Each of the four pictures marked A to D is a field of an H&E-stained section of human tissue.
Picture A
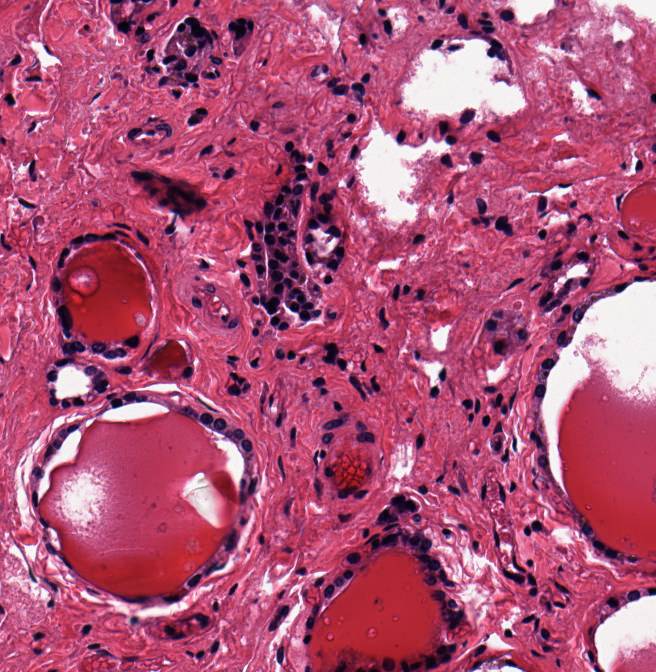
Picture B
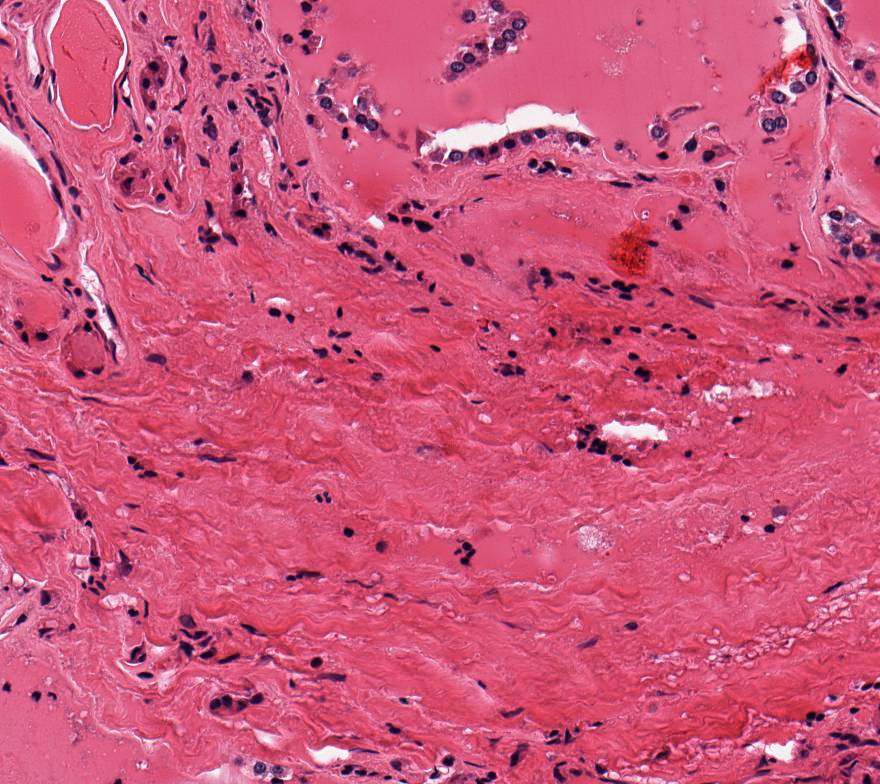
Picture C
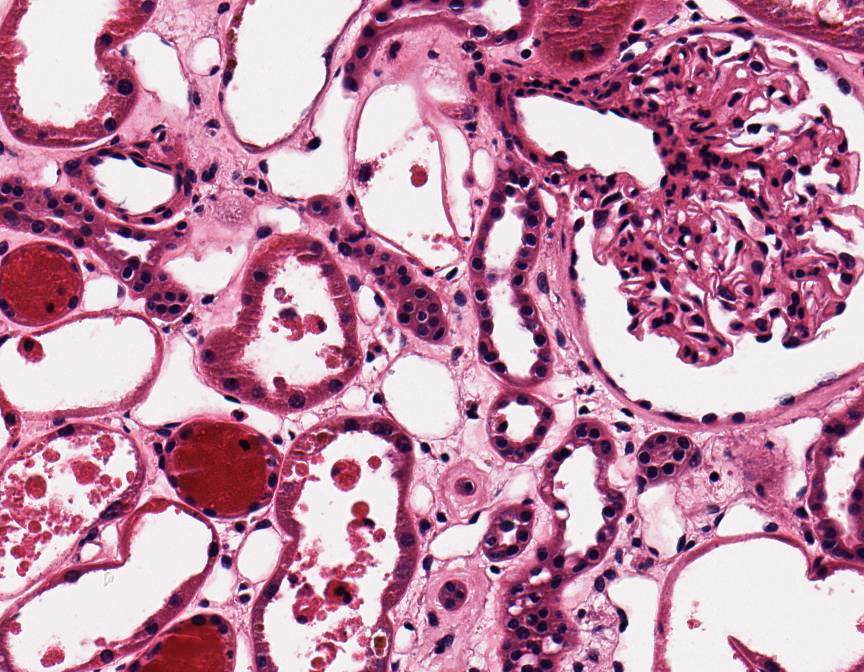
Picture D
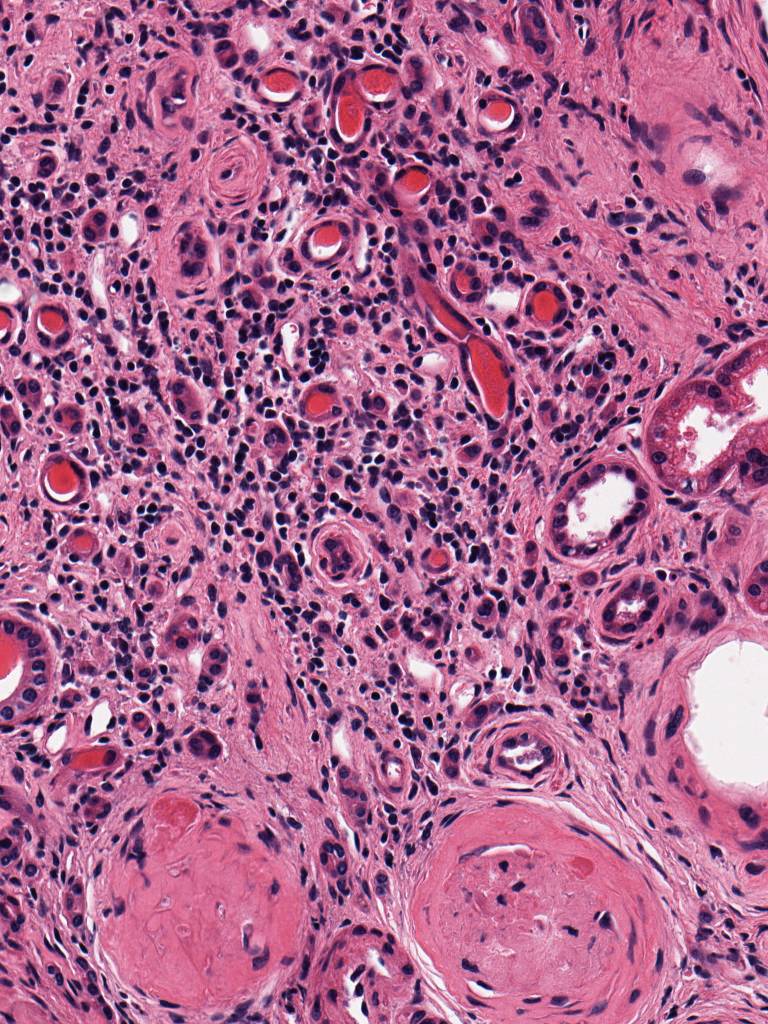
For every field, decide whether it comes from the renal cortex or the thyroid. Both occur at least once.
A: thyroid
B: thyroid
C: renal cortex
D: renal cortex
